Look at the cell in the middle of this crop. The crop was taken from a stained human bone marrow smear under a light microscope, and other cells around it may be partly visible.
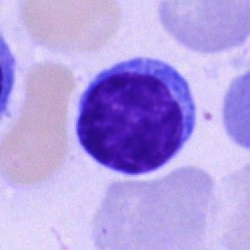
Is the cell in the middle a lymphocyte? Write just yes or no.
yes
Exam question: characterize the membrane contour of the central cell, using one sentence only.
You can see a smooth boundary, with no projections sticking out.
